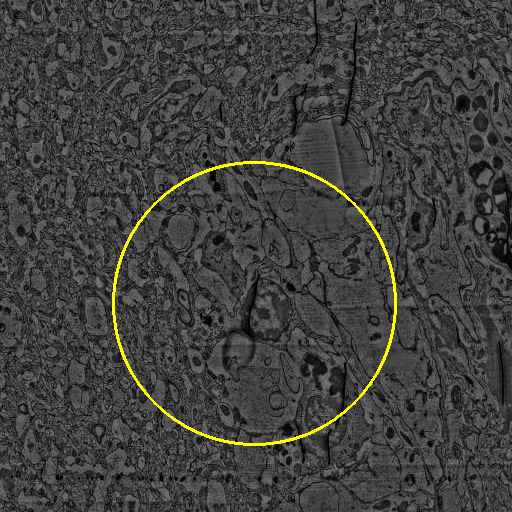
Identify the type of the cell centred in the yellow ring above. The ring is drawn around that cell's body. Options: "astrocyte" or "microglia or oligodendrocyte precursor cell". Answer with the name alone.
microglia or oligodendrocyte precursor cell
